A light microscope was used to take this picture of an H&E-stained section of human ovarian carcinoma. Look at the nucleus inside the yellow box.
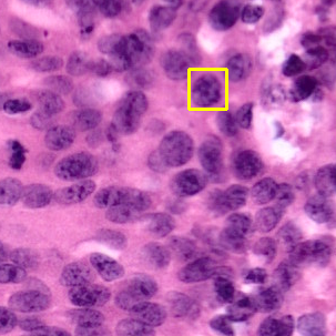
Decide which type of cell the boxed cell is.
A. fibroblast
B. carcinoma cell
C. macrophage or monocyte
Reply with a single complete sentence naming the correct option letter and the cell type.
Option B names the boxed cell correctly as a carcinoma cell.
